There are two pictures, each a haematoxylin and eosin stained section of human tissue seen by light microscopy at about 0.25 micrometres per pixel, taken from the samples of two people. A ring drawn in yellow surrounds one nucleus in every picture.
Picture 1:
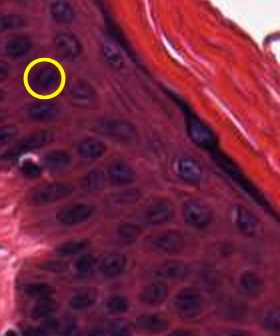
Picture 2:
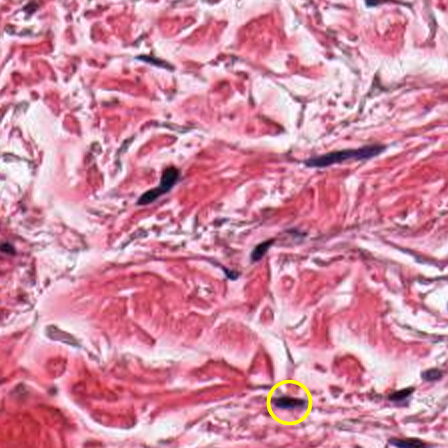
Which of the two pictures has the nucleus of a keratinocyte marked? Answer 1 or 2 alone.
1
